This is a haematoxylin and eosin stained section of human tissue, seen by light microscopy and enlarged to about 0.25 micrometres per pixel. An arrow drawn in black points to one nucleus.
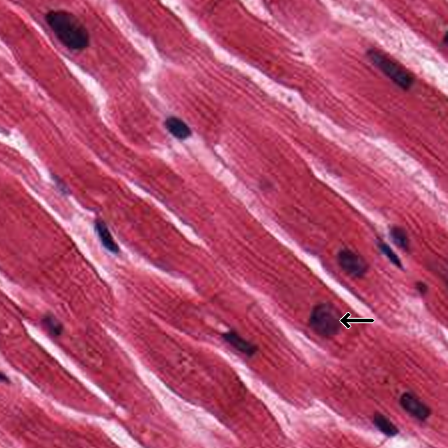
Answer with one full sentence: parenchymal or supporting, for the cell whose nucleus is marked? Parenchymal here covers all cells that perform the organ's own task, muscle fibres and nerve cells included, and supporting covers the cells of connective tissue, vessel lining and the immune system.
Of the parenchymal cells, the one holding the marked nucleus is a cardiomyocyte.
